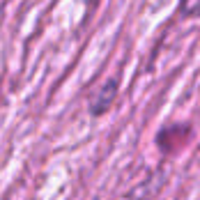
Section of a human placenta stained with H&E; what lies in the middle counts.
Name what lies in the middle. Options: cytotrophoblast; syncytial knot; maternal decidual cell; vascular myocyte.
vascular myocyte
